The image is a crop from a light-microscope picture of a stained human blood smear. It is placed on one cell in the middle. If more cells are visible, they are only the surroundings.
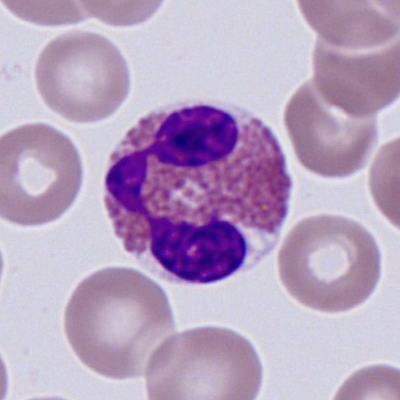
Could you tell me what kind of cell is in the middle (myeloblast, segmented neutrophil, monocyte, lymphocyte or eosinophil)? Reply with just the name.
eosinophil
